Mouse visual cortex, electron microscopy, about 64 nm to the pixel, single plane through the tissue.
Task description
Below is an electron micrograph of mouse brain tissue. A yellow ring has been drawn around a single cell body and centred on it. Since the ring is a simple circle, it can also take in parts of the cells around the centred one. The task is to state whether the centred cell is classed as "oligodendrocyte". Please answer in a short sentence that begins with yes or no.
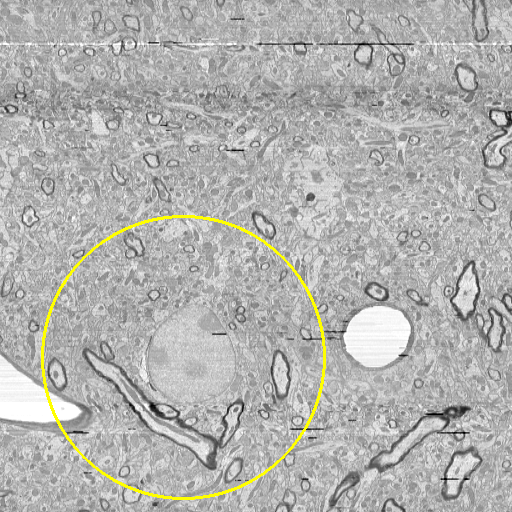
No, the centred cell is classed otherwise.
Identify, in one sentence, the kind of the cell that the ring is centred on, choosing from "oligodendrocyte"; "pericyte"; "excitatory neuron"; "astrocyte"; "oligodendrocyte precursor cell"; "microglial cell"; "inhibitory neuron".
Instead, the ring surrounds an astrocyte in this picture.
